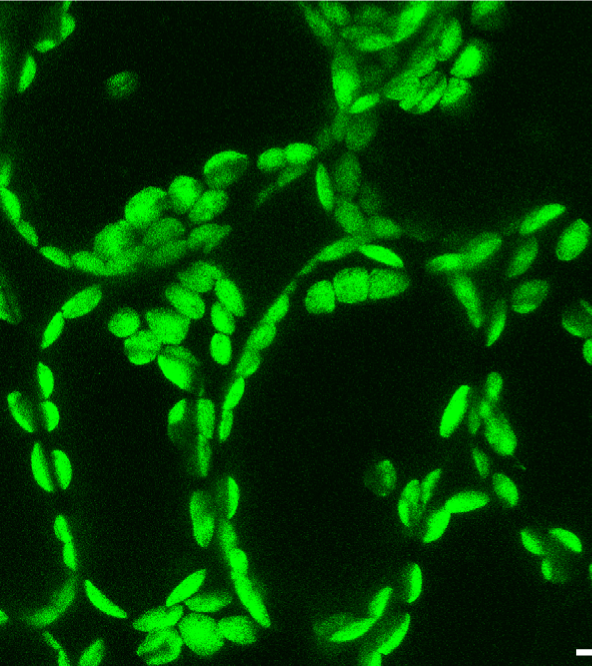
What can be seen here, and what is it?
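Leaf mesophyll cells seen in face view, their chloroplasts bright green against a dark background. Each cell appears as a large rounded dark space rimmed by a close row of lens- to disc-shaped chloroplasts. The chloroplasts are packed tightly, many touching their neighbours, and in places lie in clusters several deep where cells meet. The green fills each chloroplast fairly evenly, with no signal in the cell interiors. The cells form a loose network of rounded outlines across the field.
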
